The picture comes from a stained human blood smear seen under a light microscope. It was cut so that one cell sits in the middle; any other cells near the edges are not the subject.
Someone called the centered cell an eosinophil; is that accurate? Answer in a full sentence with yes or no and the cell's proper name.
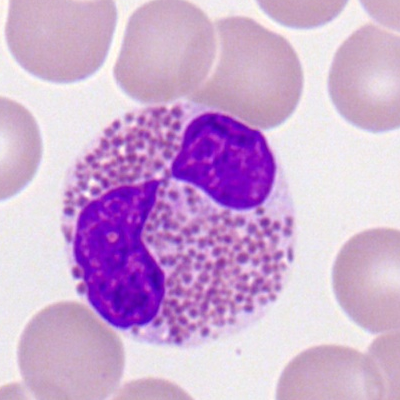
Yes, the centre of the crop holds an eosinophil.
